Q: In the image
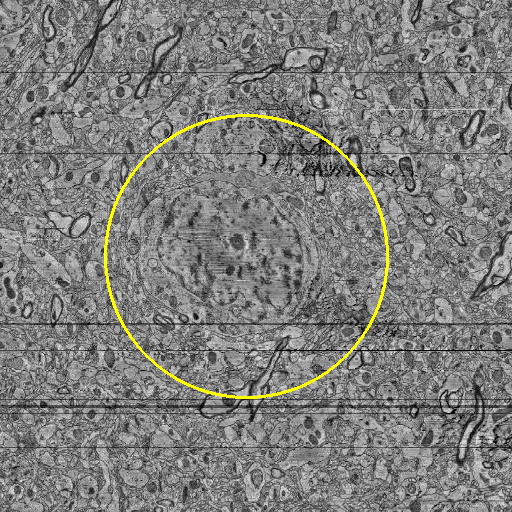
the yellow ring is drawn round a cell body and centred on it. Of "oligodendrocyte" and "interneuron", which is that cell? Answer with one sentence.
The cell centred in the ring is an interneuron.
